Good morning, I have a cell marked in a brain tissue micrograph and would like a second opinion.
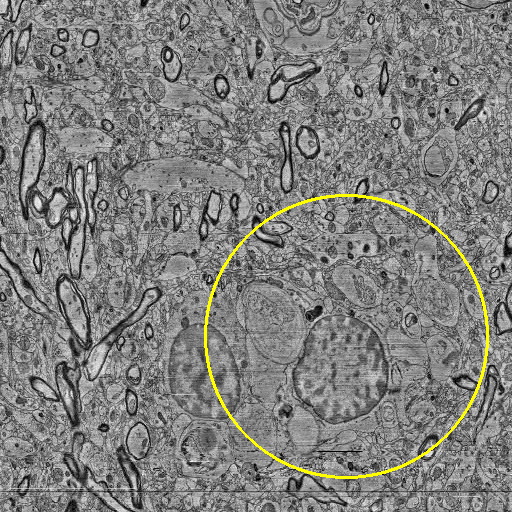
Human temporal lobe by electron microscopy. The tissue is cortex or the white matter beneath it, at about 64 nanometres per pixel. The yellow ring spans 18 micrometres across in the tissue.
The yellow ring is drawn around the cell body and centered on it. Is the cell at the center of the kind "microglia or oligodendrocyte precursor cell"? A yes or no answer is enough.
yes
